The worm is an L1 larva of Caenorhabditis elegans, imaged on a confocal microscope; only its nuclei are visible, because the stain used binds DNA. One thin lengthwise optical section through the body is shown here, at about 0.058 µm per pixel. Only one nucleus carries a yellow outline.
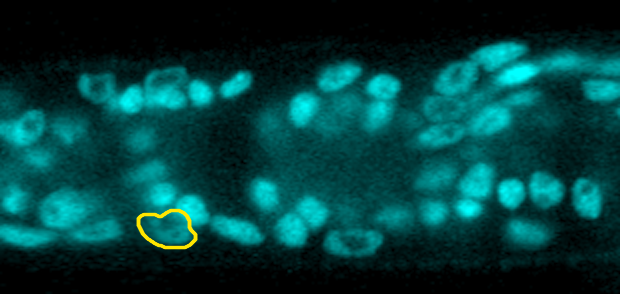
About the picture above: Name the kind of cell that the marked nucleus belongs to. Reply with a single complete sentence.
It belongs to a hypodermal cell (hyp).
